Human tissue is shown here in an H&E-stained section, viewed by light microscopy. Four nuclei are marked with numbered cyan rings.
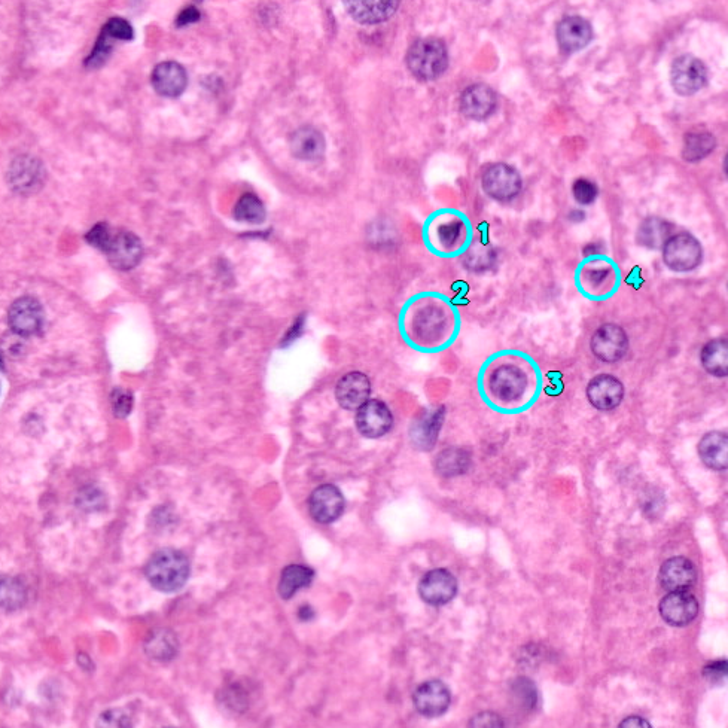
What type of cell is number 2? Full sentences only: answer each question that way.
As for number 2, that cell is a hepatocyte.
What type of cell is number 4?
The cell referenced by the number 4 is a fibroblast or stellate cell in this field.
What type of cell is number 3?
Cell 3 in the field of view is a hepatocyte.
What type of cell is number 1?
The cell referred to as 1 is an endothelial cell.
